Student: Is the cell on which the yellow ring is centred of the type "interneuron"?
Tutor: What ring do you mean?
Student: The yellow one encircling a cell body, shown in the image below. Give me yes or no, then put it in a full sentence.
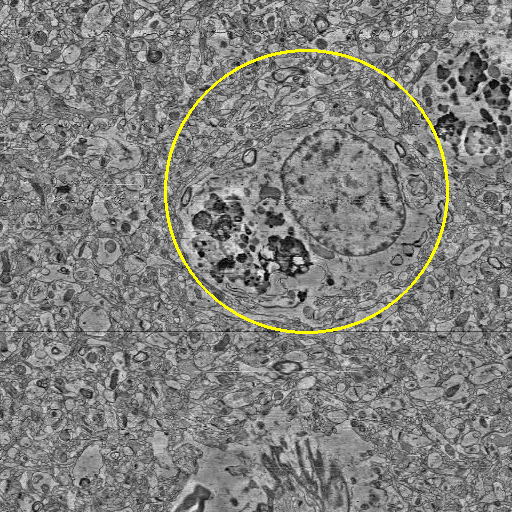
No, the cell on which the yellow ring in the image is centred has a different type.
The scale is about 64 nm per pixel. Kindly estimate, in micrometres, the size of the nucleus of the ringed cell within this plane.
The ringed cell's nucleus measures approximately 9 by 7 micrometres in this plane.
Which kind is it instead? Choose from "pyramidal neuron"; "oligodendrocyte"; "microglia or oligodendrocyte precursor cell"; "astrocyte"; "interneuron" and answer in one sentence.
Instead, what sits at the centre of the ring is an astrocyte.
